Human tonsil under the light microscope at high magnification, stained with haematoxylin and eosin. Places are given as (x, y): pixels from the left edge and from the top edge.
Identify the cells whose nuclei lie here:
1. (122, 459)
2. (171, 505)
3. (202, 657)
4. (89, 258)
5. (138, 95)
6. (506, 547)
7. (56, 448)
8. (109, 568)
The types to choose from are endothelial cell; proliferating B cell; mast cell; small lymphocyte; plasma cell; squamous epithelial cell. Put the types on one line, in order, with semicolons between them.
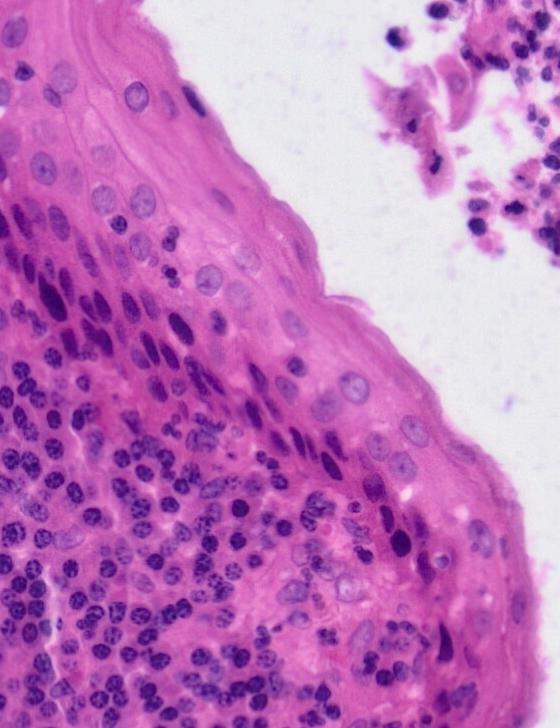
plasma cell; plasma cell; plasma cell; squamous epithelial cell; squamous epithelial cell; squamous epithelial cell; plasma cell; plasma cell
